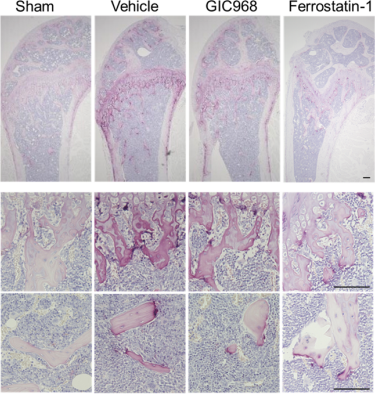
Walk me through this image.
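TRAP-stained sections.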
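At low magnification, the rounded end of the bone is capped by a band of cartilage, with a network of thin bony trabeculae and marrow beneath it. Just below the cartilage band, the trabecular region carries the densest magenta-red staining. At higher magnification, the trabeculae appear as pale pink strips of bone matrix. Magenta-red stained cells sit directly on their surfaces. Between the trabeculae, the marrow cavity is filled with many small cells whose nuclei are stained blue-purple.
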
